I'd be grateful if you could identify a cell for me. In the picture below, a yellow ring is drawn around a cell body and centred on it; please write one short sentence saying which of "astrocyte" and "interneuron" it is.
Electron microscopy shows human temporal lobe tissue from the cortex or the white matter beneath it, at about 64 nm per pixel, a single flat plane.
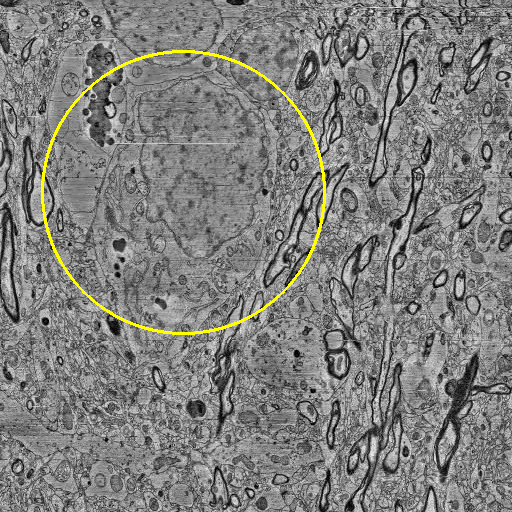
The cell under the ring's centre is an interneuron.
